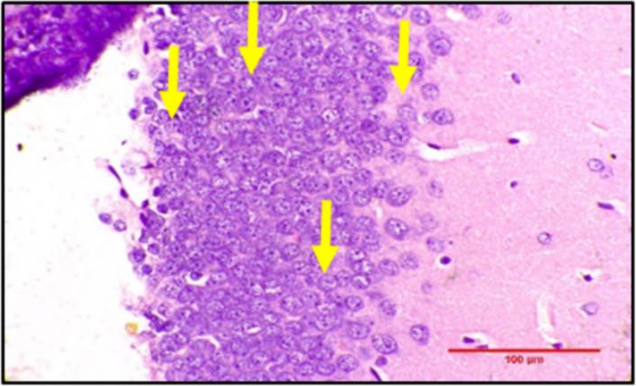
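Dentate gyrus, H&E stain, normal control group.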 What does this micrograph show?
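The neuronal cell bodies sit close against one another, each with a large, round, pale nucleus and a crisp nuclear border. Within many of these nuclei a small, dark nucleolus stands out clearly. To the right the band gives way to pale pink neuropil, in which only scattered small, dark nuclei and a few thin vessels are seen. At the left edge the tissue borders an empty white space, with a darker purple area in the upper left corner.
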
